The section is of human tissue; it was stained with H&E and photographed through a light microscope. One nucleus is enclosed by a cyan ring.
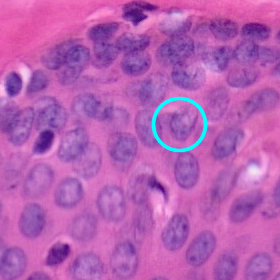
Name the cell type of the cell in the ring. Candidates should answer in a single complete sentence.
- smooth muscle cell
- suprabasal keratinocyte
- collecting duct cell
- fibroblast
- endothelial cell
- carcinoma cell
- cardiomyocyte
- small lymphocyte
With respect to cell type, the cell in the ring is a suprabasal keratinocyte.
